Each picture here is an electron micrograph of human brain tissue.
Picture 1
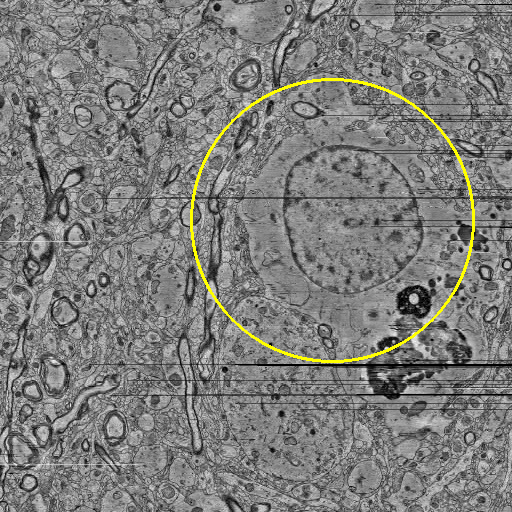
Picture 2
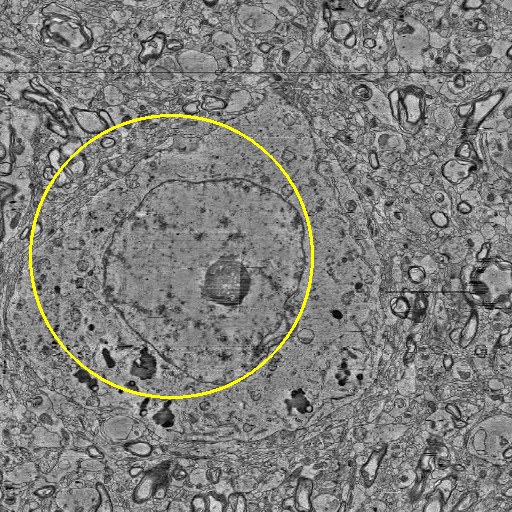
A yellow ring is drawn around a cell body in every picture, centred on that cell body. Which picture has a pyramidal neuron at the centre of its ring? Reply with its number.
2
